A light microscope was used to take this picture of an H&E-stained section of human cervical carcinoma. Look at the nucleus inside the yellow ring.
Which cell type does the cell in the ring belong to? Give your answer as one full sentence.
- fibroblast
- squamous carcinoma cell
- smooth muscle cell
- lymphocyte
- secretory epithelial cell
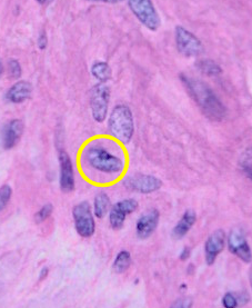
This is a smooth muscle cell.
